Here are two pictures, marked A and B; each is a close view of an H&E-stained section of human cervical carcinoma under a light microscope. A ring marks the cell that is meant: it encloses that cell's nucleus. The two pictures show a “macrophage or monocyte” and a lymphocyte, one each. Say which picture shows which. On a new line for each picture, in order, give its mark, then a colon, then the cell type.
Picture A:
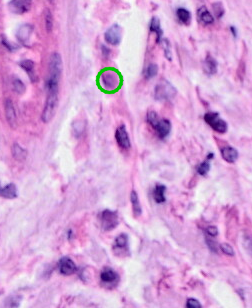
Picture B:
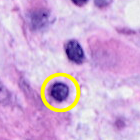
A: macrophage or monocyte
B: lymphocyte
